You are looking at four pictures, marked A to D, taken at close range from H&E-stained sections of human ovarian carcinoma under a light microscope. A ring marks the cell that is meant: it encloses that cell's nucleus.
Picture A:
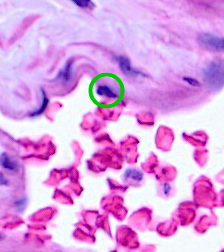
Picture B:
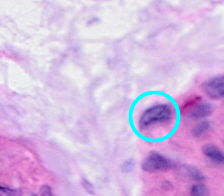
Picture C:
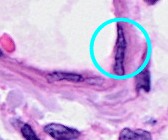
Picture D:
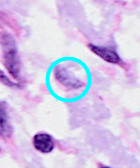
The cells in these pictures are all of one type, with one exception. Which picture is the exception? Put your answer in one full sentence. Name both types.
Picture D differs, because its cell is a fibroblast and the rest are endothelial cells.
